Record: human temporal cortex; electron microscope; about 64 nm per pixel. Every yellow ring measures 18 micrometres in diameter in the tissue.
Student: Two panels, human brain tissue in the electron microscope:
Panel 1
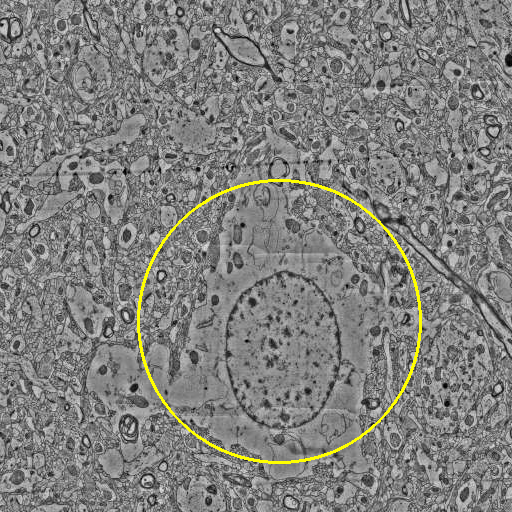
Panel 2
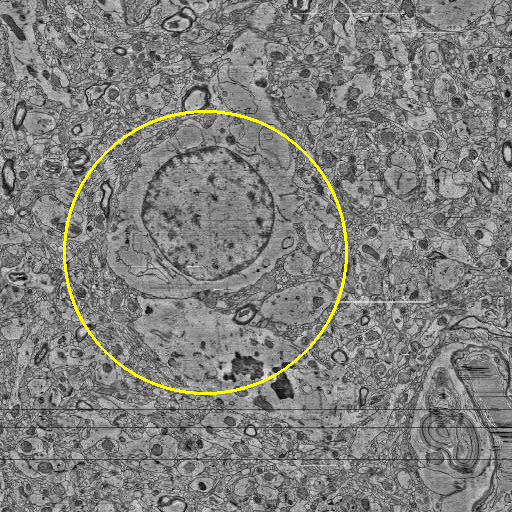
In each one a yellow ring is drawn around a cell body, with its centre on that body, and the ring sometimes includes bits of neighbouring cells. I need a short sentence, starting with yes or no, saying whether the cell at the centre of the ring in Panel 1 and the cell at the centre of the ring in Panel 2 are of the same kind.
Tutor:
Yes, they are the same kind of cell.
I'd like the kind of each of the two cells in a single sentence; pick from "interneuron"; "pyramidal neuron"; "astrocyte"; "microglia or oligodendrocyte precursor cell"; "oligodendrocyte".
The cell in the first picture is an astrocyte, and so is the one in the second.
